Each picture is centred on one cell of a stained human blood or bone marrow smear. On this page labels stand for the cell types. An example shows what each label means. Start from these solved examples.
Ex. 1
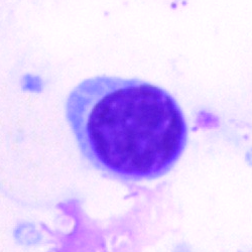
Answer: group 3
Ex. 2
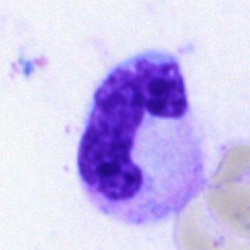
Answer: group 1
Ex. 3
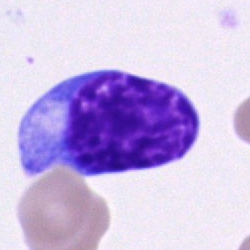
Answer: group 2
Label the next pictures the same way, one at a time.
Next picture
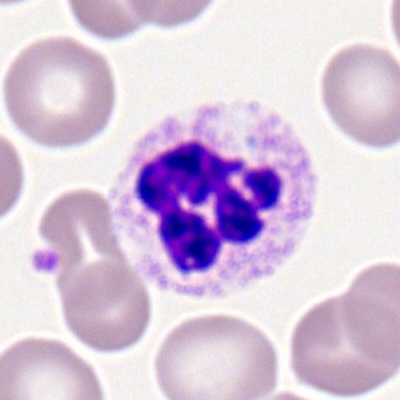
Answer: group 1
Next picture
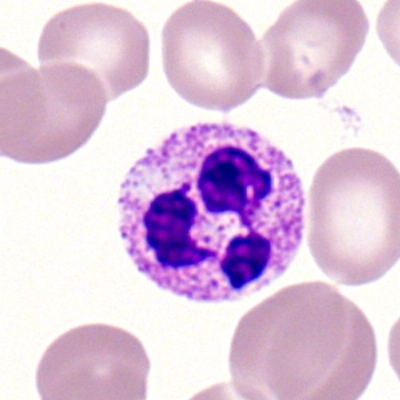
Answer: group 1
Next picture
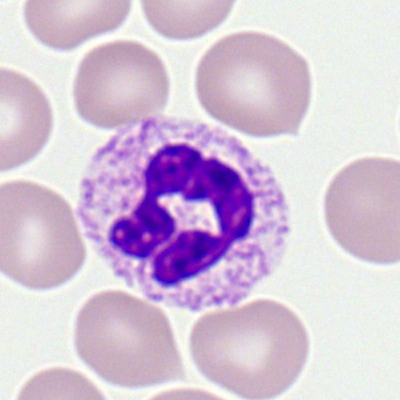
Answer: group 1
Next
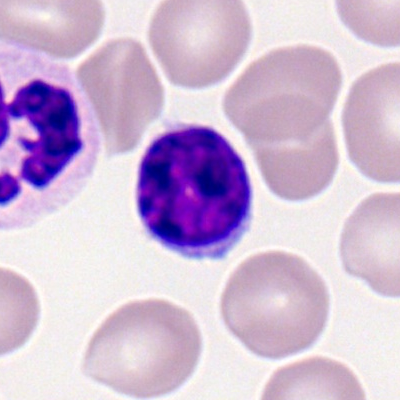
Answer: group 3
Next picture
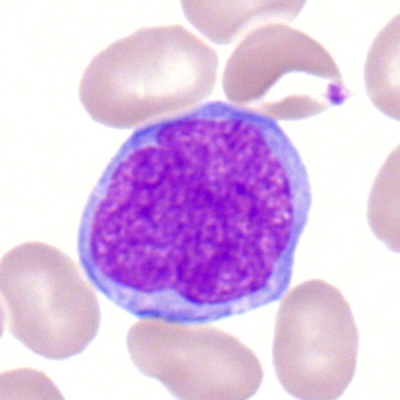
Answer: group 2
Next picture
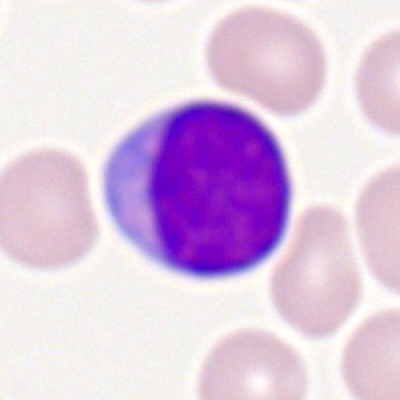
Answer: group 2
